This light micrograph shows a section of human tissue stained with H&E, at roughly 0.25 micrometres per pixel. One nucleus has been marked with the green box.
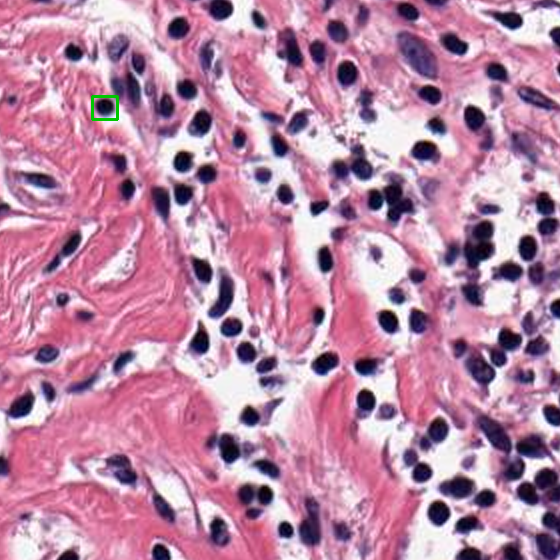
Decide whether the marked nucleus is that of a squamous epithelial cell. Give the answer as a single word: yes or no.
no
